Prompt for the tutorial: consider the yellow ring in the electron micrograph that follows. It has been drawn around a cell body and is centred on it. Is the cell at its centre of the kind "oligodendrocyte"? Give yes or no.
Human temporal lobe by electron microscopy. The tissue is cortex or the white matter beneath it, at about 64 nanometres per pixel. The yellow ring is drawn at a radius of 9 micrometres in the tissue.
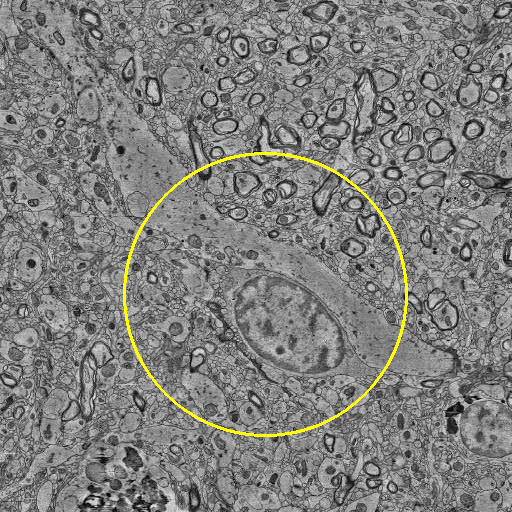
yes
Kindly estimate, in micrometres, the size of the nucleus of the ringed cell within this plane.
Roughly 8 by 5 micrometers, clearly longer than it is wide in this plane.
